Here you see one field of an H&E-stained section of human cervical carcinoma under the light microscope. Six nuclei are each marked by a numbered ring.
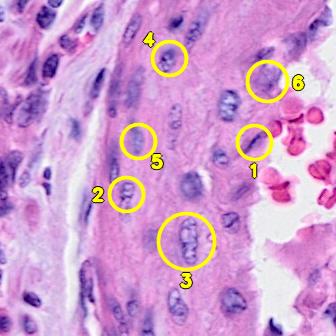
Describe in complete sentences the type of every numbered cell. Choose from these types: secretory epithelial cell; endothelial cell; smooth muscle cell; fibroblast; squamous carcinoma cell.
Cells 1 and 6 are endothelial cells. Cells 2, 3, 4 and 5 are smooth muscle cells.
